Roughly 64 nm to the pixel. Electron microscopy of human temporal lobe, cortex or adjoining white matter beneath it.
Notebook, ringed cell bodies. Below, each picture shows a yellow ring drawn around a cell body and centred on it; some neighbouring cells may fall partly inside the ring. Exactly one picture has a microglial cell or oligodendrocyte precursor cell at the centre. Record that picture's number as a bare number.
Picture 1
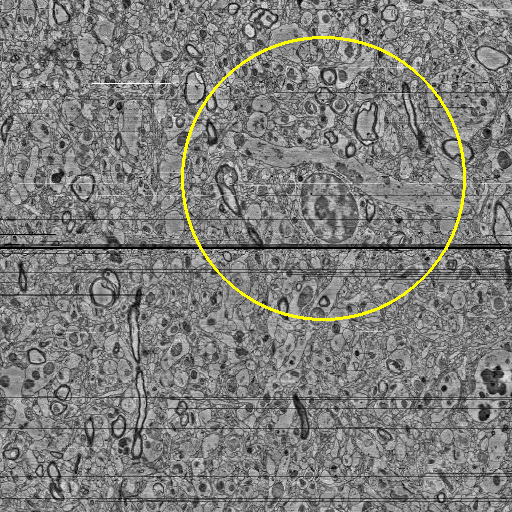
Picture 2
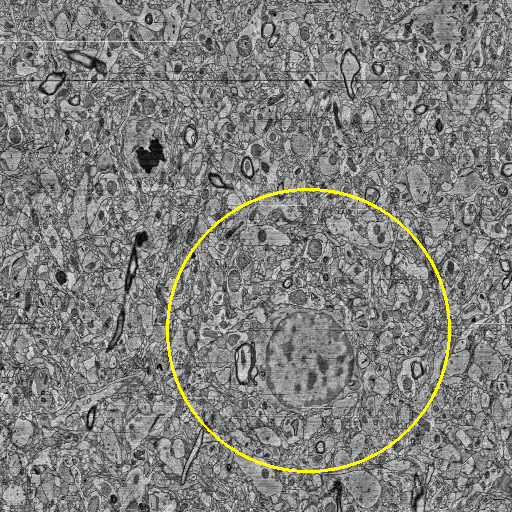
1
